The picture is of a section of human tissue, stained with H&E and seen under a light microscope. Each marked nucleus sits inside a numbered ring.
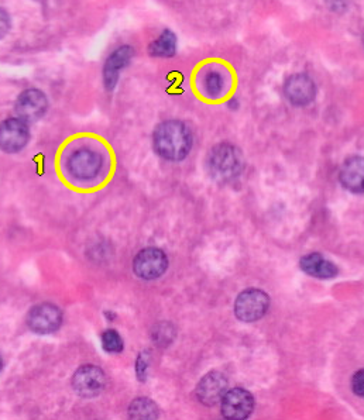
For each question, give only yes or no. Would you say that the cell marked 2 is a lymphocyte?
yes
